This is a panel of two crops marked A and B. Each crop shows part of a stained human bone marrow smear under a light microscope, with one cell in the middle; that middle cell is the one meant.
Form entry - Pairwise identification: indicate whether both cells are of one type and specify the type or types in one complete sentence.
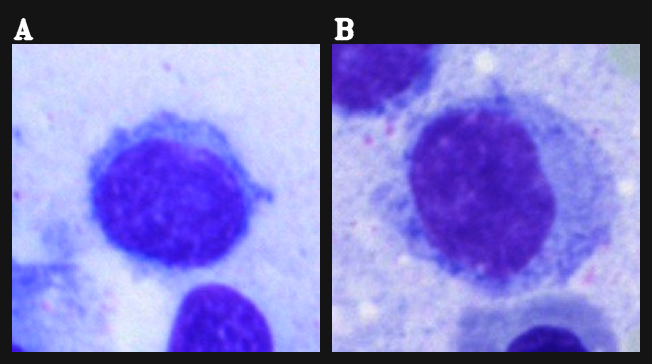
Yes, both of the crops in this pair show hairy cells, one cell in each crop.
